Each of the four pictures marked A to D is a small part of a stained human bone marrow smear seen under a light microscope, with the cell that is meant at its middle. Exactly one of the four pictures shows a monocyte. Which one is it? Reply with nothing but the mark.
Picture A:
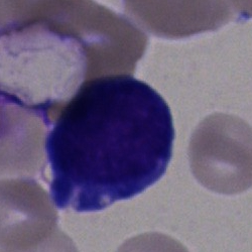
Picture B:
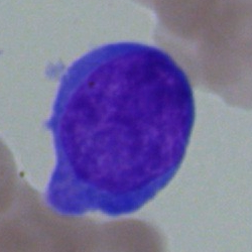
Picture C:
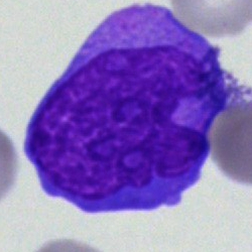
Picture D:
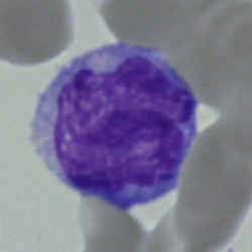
D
